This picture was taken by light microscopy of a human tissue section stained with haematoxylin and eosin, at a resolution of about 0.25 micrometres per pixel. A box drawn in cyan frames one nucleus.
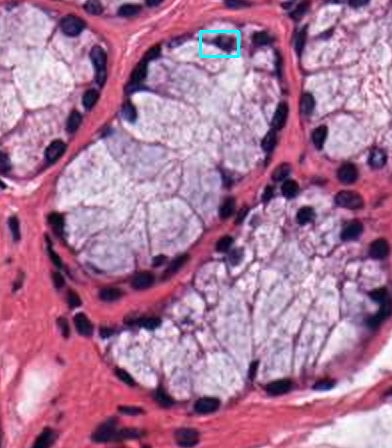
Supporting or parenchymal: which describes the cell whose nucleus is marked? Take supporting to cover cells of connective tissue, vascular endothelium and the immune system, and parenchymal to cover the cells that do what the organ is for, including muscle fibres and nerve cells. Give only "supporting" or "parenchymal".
parenchymal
